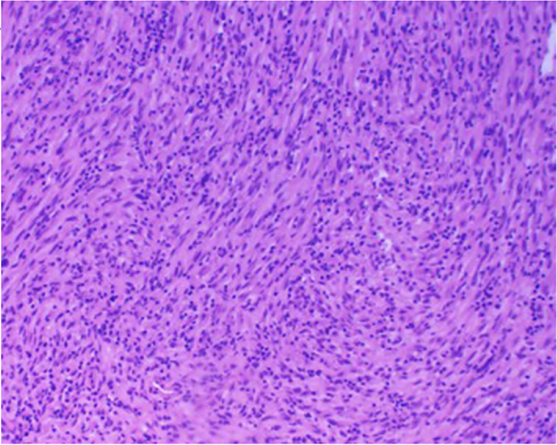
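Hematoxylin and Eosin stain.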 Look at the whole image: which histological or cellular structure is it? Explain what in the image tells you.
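Densely packed elongated cells with spindle-shaped dark nuclei. Cells run in streaming bundles that change direction across the field. Pink eosinophilic cytoplasm between the nuclei.
Answer: spindle cells arranged in fascicles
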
